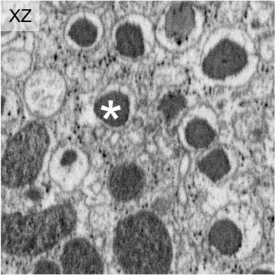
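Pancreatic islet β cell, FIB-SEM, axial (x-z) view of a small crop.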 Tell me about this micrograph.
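Numerous round granules fill the field, many with a dark dense core set in a pale halo bounded by a membrane. Dark oval mitochondria lie between the granules, and fine dark dots speckle the surrounding cytoplasm. An asterisk sits on one granule with a dense core and clear rim.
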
